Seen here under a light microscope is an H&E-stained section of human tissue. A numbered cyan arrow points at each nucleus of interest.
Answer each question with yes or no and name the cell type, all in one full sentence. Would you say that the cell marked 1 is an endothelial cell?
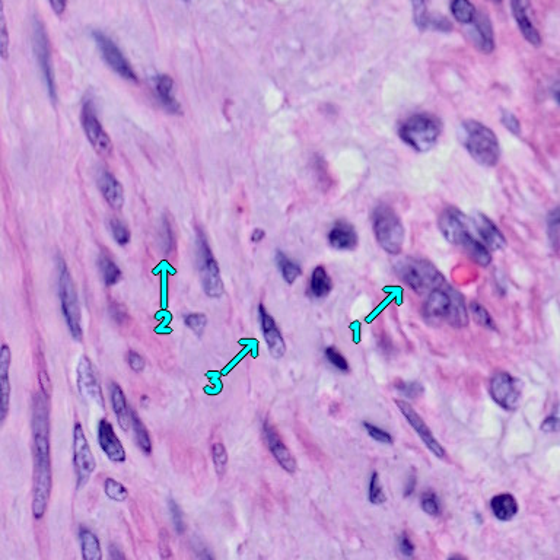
Yes, the numbered nucleus 1 is that of an endothelial cell.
